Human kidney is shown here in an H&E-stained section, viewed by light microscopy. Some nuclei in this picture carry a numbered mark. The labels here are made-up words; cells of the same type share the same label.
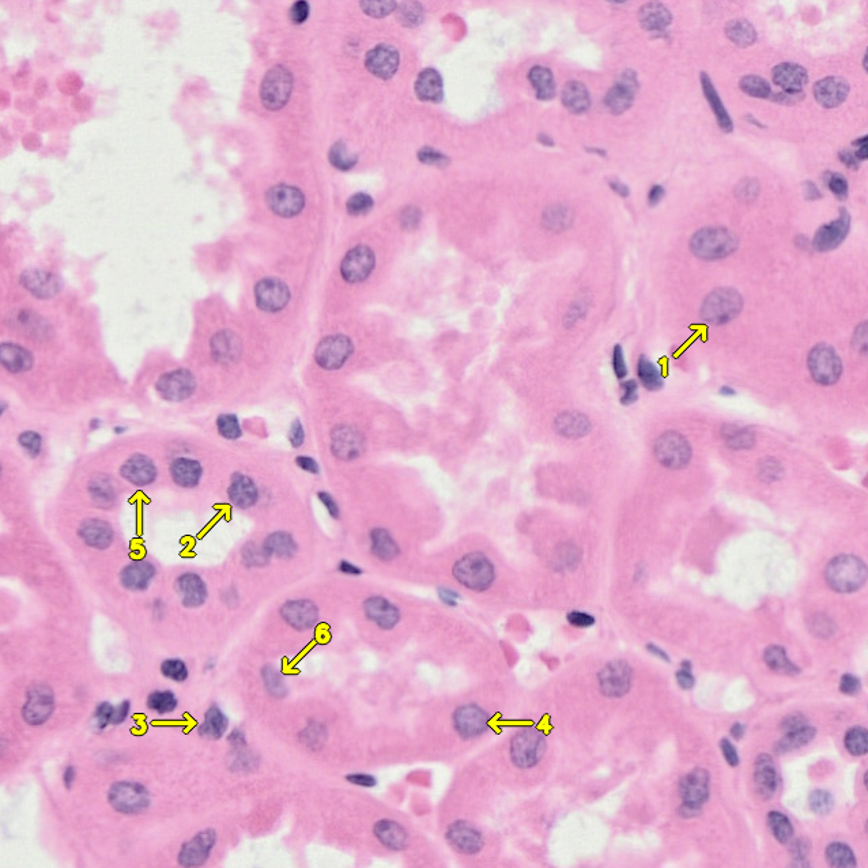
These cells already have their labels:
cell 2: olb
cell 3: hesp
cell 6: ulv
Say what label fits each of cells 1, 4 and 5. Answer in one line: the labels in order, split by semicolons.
ulv; ulv; olb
